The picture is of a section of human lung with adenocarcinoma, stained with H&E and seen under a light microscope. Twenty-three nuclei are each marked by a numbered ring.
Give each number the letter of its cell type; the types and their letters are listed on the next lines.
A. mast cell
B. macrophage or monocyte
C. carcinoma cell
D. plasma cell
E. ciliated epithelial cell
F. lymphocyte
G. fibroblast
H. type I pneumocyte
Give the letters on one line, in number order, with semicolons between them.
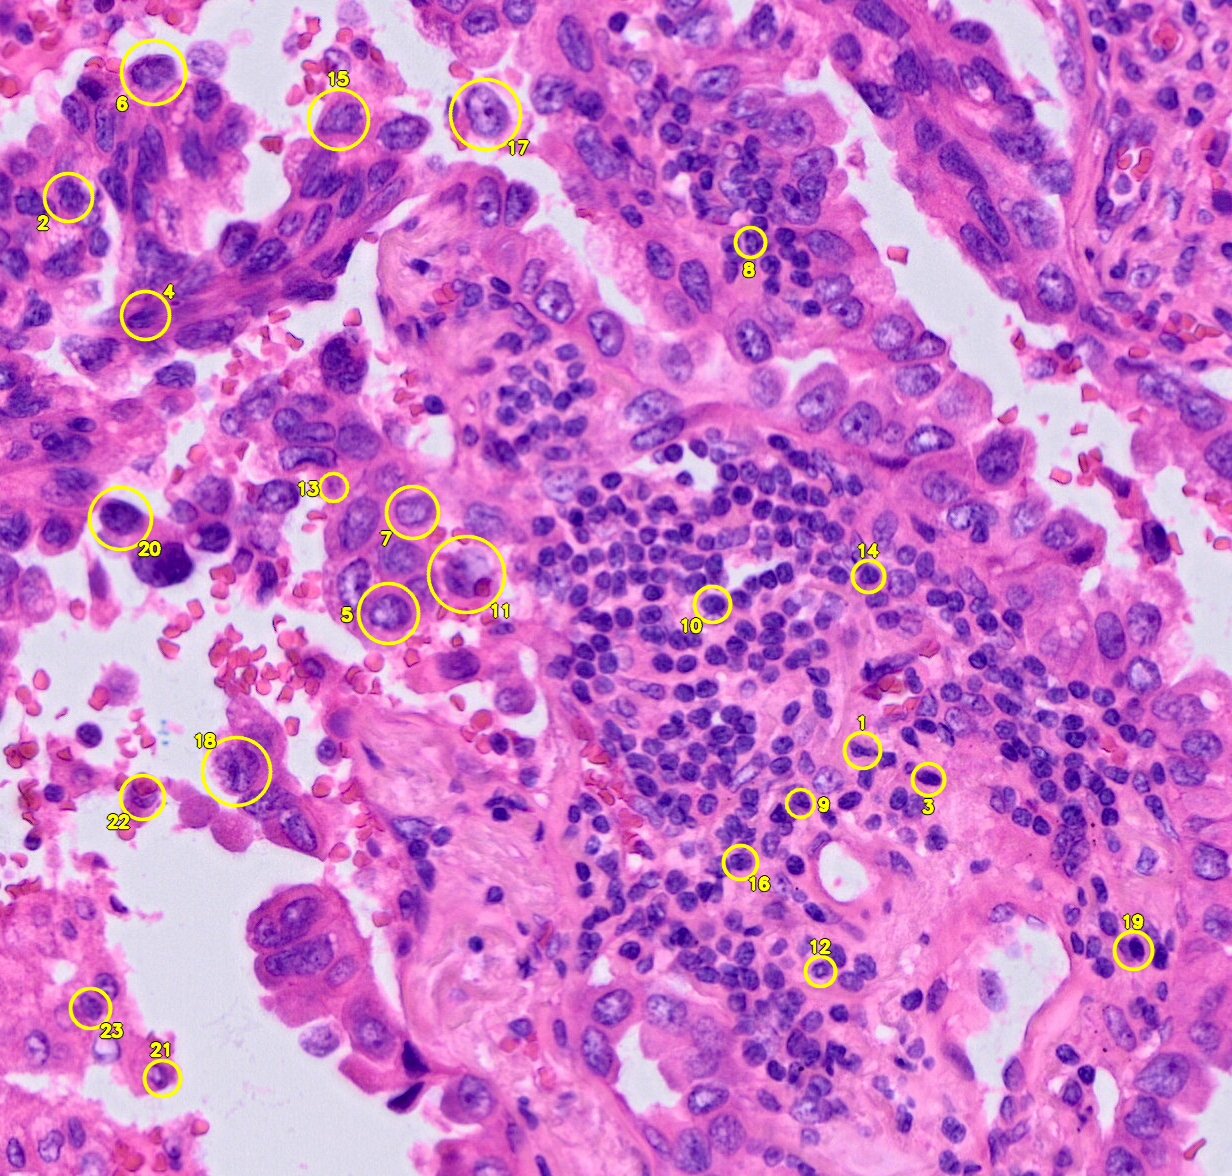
F; C; F; C; C; C; C; F; F; F; C; F; C; F; C; F; C; C; F; C; B; B; B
